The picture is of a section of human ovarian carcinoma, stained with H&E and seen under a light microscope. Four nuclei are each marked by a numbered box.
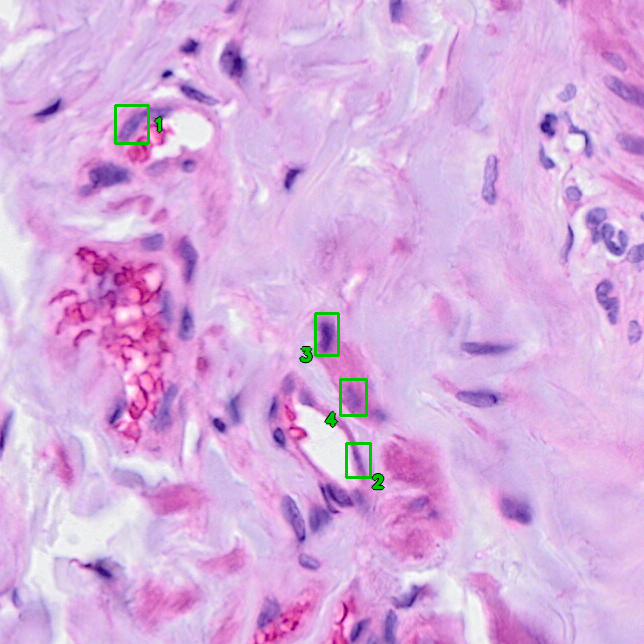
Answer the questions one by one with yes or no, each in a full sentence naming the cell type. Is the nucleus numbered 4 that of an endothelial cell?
No, a smooth muscle cell is what cell 4 is, not an endothelial cell.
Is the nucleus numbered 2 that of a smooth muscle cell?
No, the cell carrying number 2 is an endothelial cell, not a smooth muscle cell.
